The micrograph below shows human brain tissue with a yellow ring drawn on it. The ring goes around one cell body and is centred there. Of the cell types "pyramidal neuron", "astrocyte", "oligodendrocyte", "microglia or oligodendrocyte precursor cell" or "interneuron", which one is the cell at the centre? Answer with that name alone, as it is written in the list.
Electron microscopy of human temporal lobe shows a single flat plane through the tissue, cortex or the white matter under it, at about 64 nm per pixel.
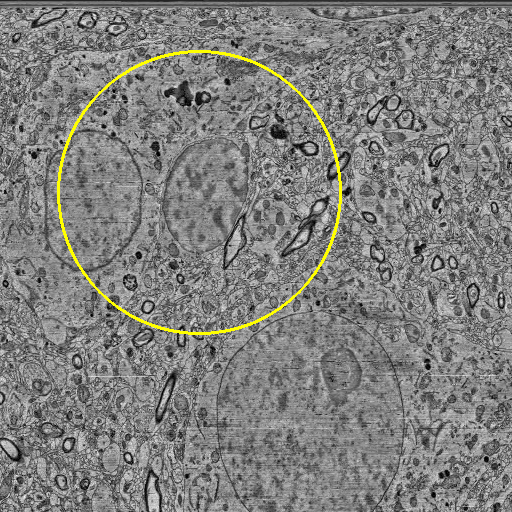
oligodendrocyte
